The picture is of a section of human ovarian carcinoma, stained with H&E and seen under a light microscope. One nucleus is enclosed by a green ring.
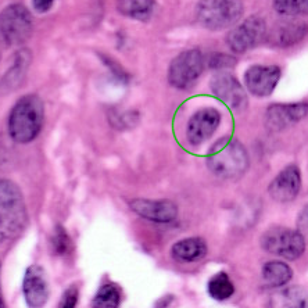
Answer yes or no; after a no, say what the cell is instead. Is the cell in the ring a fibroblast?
No, it is a macrophage or monocyte.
